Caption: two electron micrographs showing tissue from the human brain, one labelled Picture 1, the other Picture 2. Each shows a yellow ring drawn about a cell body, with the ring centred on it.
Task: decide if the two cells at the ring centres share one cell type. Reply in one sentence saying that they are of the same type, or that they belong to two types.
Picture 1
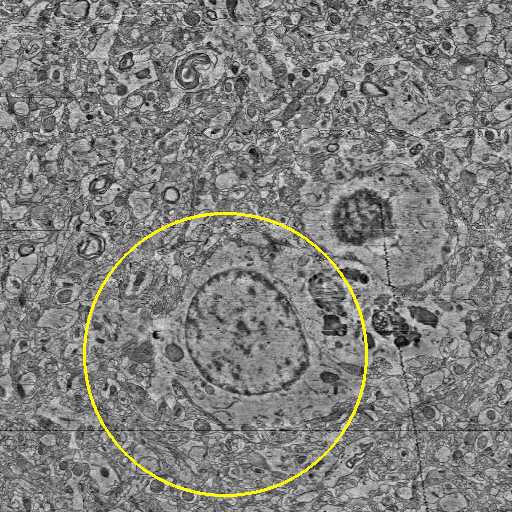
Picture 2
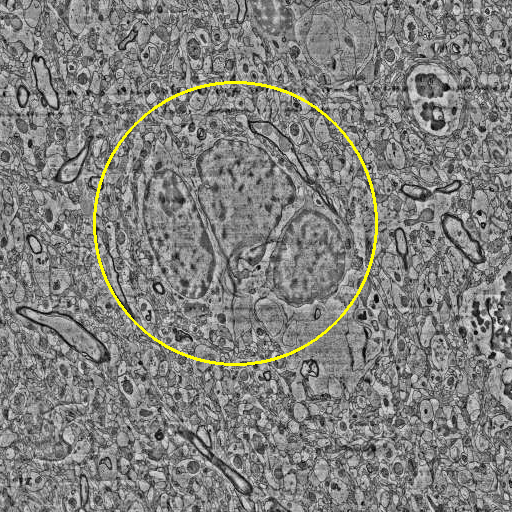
The cells at the ring centres in Picture 1 and Picture 2 belong to two types.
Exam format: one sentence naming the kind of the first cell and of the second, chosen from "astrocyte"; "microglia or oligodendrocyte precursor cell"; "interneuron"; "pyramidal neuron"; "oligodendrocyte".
The first picture's cell is an astrocyte, and the second picture's cell is a microglial cell or oligodendrocyte precursor cell.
